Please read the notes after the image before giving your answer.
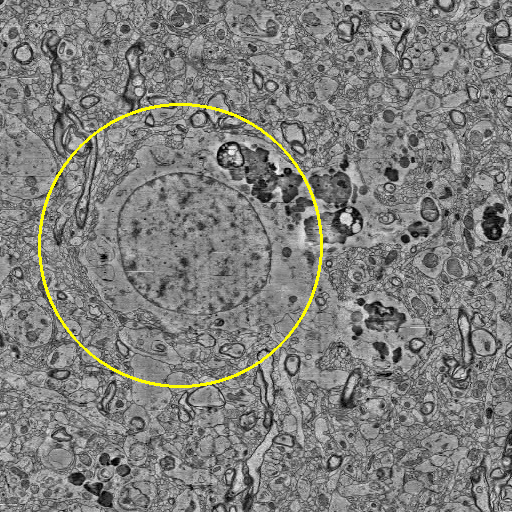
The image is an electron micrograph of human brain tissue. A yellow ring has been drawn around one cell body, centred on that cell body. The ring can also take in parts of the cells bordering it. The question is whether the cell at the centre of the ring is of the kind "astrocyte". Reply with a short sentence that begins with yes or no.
Yes, the cell at the centre is of that kind.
